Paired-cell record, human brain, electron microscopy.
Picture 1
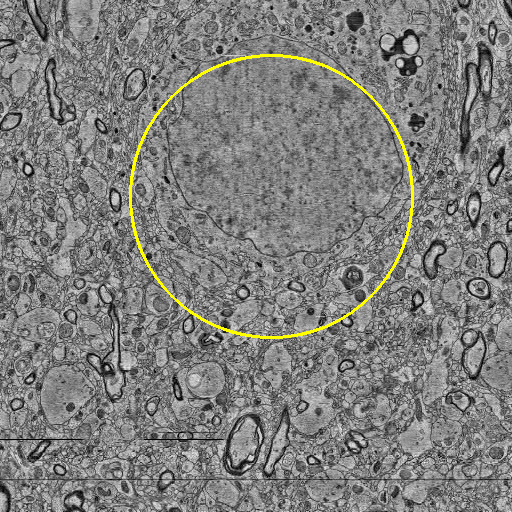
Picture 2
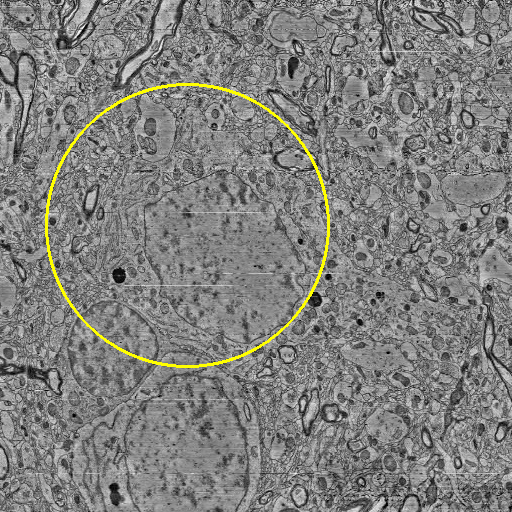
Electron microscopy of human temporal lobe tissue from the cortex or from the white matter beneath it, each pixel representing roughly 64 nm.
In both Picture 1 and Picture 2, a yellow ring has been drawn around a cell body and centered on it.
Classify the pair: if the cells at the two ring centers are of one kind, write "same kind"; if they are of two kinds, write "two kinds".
two kinds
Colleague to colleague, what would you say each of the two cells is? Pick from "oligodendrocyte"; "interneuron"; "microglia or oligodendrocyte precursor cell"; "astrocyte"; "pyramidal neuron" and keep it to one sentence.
The cell in the first picture is a pyramidal neuron; the second picture's cell is an interneuron.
